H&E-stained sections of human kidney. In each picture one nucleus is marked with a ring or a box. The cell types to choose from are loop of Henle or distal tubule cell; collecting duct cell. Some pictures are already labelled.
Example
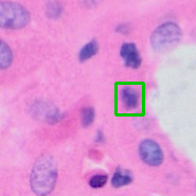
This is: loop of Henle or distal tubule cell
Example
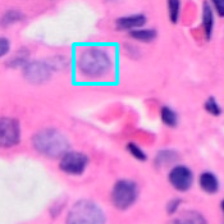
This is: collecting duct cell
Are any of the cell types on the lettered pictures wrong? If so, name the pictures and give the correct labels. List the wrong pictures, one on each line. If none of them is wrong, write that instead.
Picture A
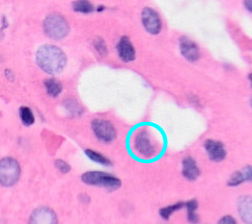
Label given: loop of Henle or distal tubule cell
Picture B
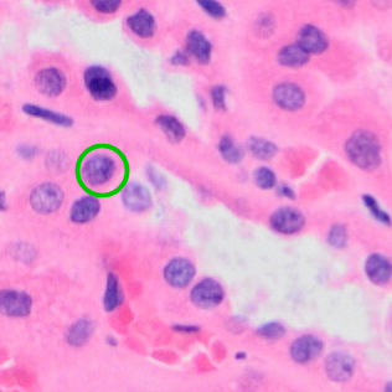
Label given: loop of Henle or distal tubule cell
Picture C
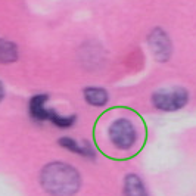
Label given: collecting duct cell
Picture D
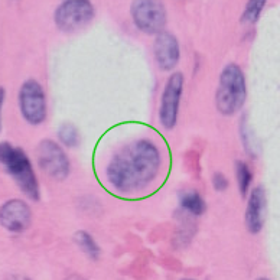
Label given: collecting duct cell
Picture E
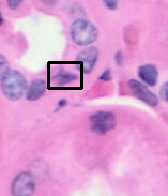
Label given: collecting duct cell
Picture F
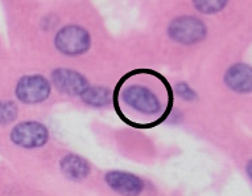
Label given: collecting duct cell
C: change collecting duct cell to loop of Henle or distal tubule cell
